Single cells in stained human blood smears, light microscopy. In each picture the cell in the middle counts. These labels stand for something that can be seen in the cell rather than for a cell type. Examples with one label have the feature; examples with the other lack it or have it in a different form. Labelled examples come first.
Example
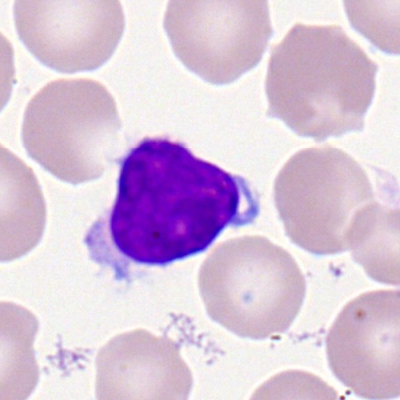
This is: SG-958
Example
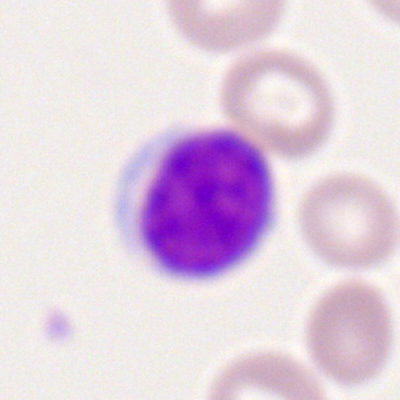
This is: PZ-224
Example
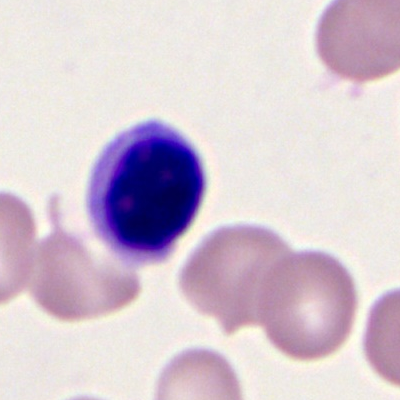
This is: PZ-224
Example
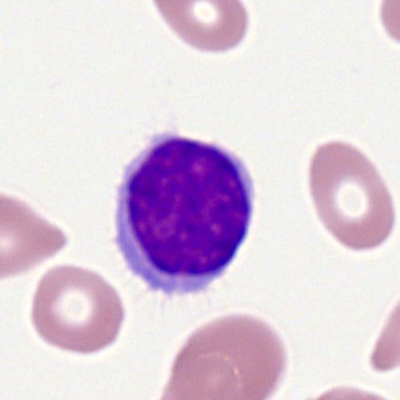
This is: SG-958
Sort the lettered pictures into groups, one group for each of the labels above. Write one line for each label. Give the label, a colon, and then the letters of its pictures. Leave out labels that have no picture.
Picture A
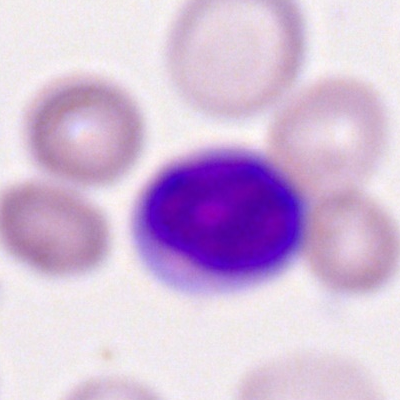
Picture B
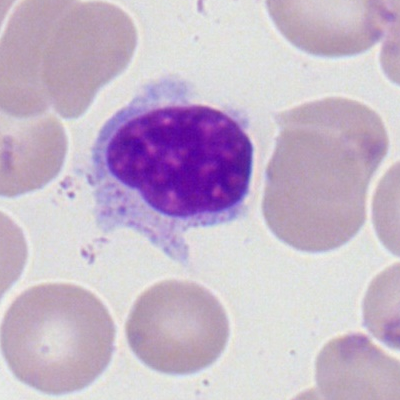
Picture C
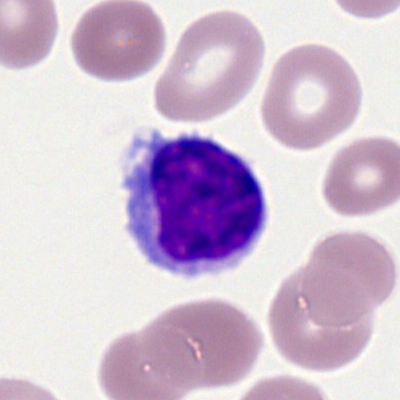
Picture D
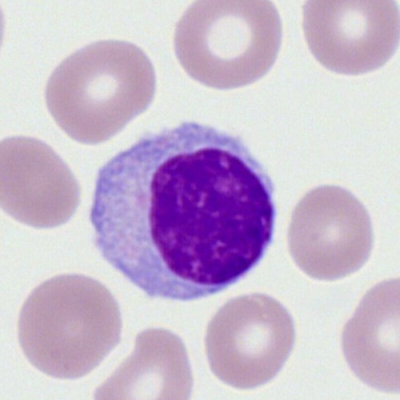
SG-958: B, C, D
PZ-224: A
